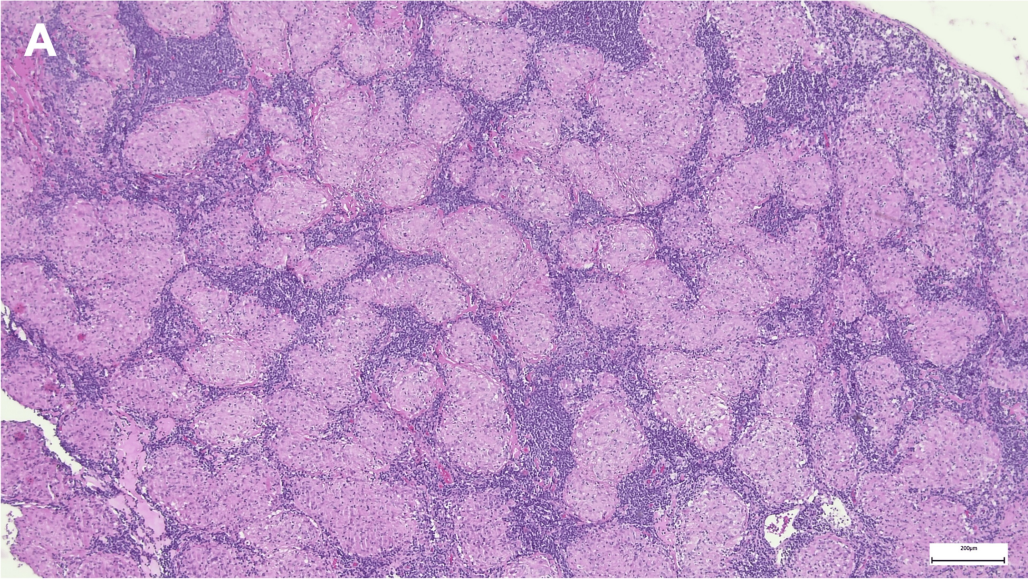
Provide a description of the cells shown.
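Lymph node whose normal architecture is replaced by multiple pale pink epithelioid granulomas packed throughout the section. The granulomas vary in size, several coalescing into larger irregular aggregates, and are separated by narrow dark purple bands of lymphocytes. No necrotic centres are present.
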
